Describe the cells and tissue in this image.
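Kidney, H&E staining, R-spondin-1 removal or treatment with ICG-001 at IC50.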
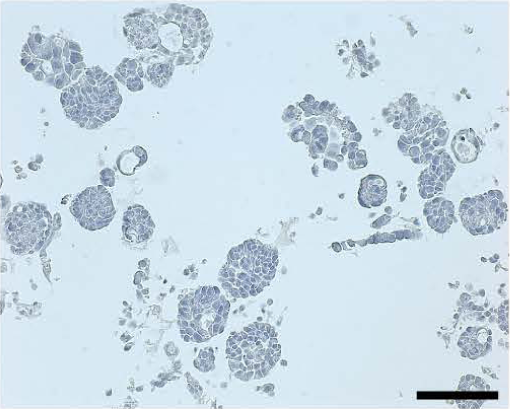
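Section of organoid cultures consisting mostly of small, compact, rounded clusters of cells with little or no central lumen. The clusters are made of tightly packed cells with purple-blue nuclei and pale cytoplasm. Only a few small hollow structures are present, and loose fragments and debris are scattered across the pale background.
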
